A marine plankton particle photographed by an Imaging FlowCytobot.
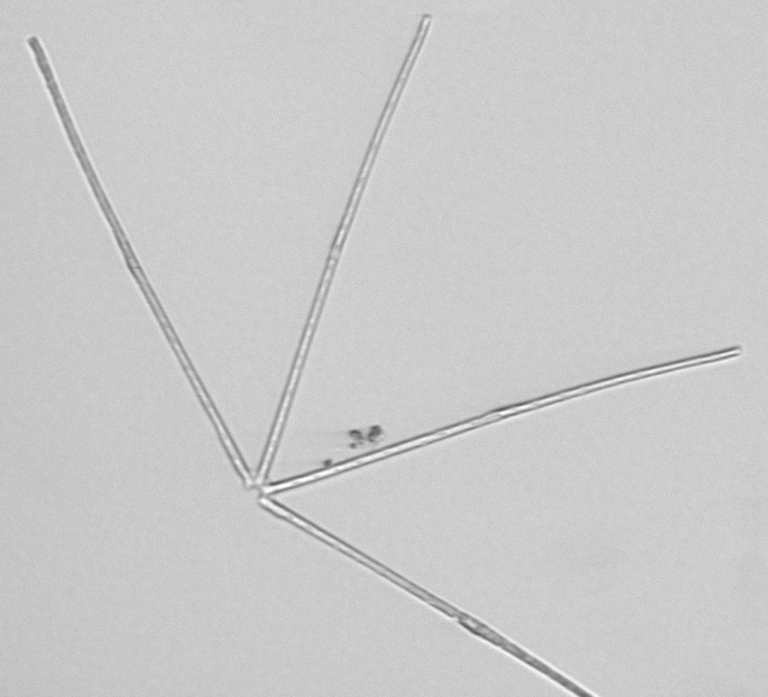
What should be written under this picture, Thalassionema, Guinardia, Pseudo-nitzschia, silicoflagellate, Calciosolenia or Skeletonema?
Thalassionema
